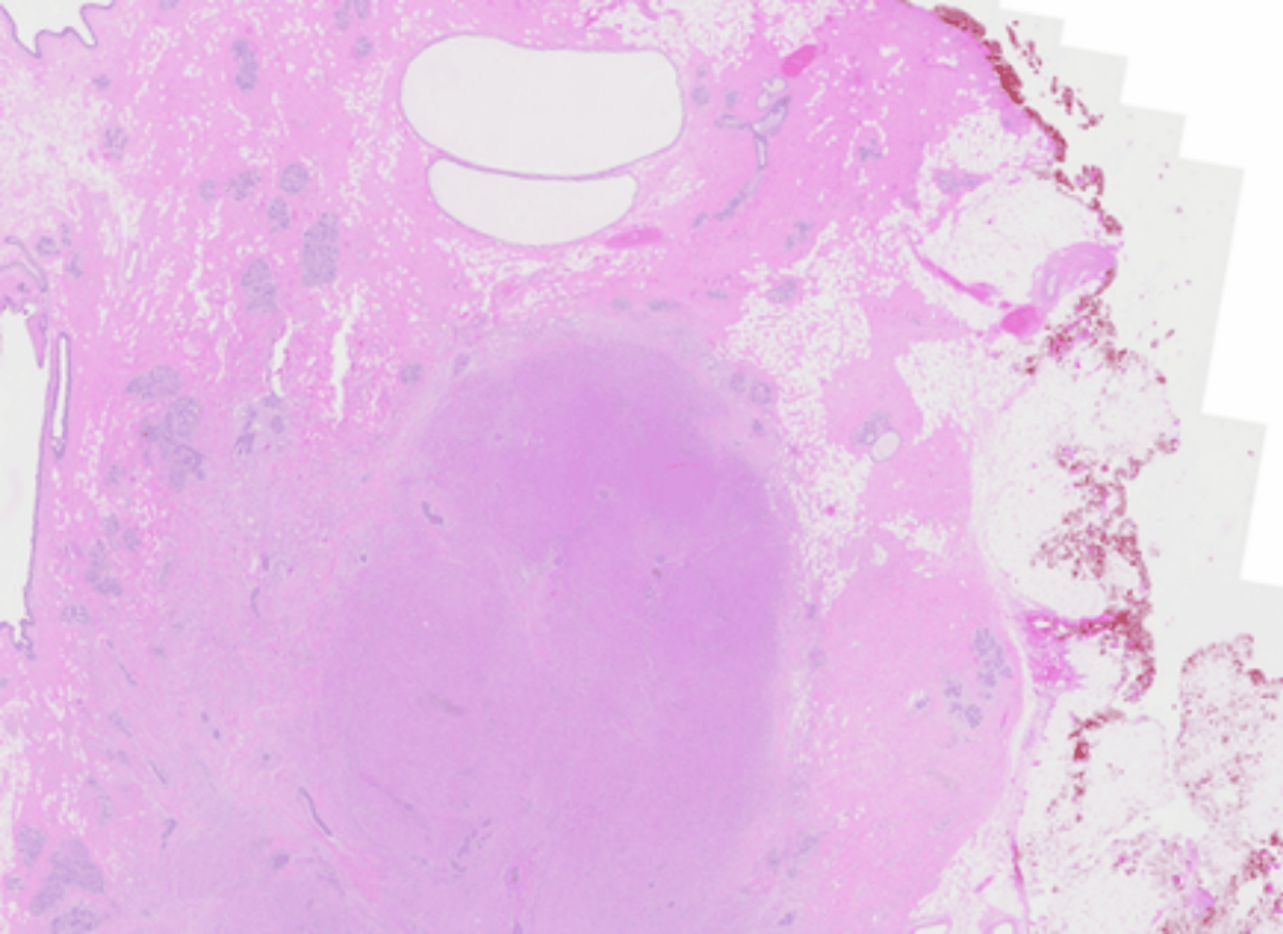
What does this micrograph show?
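This is a very low-power view of breast parenchyma containing a nodular lesion. The lesion is the large, rounded mass in the lower middle of the section, stained a denser and more even purple-pink than its surroundings, with a fairly smooth rounded border. Around it lies pink fibrous stroma in which small purple clusters of glandular lobules are scattered like islands. Near the top, two smooth-walled, empty dilated spaces stand out as clear holes in the tissue. Toward the right edge the tissue becomes loose, pale and frayed, with dark red blood-like material along the margin. At this magnification only the architecture can be judged, not the individual cells.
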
